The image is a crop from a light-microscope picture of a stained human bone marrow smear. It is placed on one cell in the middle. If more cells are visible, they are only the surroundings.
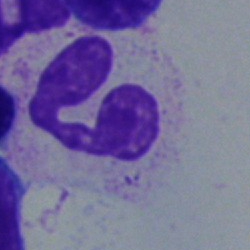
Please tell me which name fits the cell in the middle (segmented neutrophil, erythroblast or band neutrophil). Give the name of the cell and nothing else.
segmented neutrophil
